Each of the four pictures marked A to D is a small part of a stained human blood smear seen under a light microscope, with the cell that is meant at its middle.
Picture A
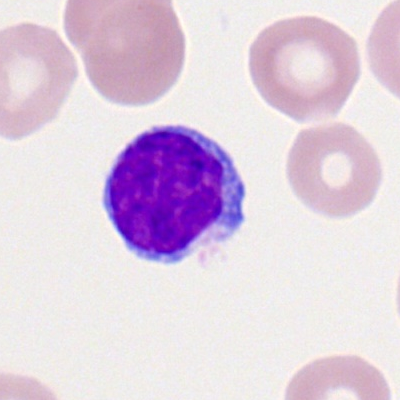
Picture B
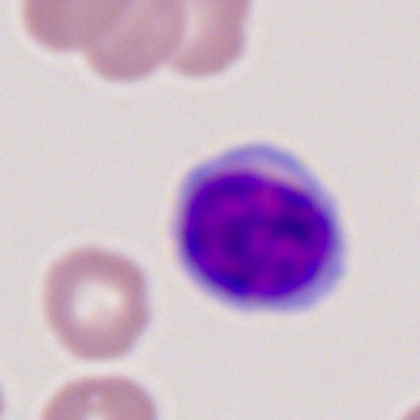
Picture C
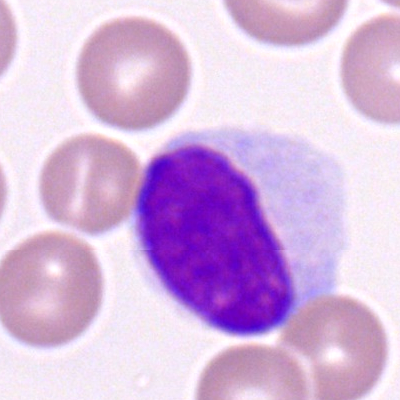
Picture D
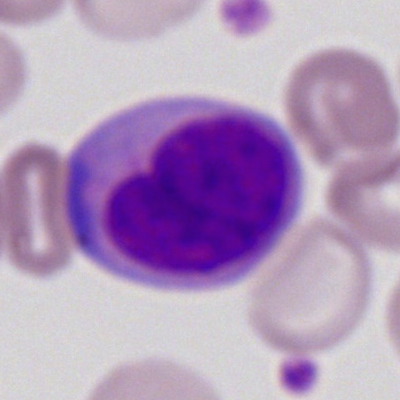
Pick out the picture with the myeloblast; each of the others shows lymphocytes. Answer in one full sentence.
It is picture D that shows the myeloblast.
